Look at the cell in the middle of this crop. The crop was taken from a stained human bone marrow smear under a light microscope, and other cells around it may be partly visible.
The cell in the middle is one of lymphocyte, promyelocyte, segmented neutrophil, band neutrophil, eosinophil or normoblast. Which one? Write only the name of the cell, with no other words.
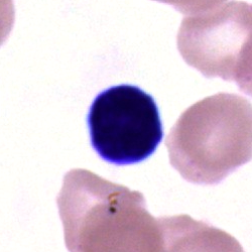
lymphocyte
